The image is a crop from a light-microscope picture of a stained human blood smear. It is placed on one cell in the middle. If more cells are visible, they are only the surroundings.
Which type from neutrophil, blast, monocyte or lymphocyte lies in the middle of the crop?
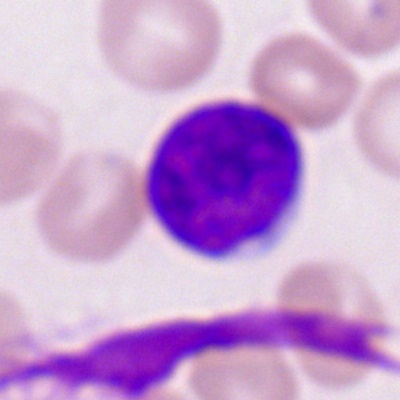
blast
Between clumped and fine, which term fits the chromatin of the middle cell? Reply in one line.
Thanks for asking; the chromatin is coarsely clumped.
